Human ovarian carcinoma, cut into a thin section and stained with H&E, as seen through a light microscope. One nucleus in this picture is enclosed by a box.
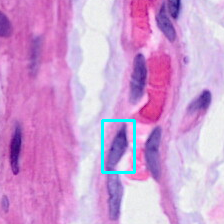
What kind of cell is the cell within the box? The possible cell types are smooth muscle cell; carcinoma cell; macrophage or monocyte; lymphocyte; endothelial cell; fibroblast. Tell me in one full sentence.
The cell type of the cell within the box is that of an endothelial cell.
